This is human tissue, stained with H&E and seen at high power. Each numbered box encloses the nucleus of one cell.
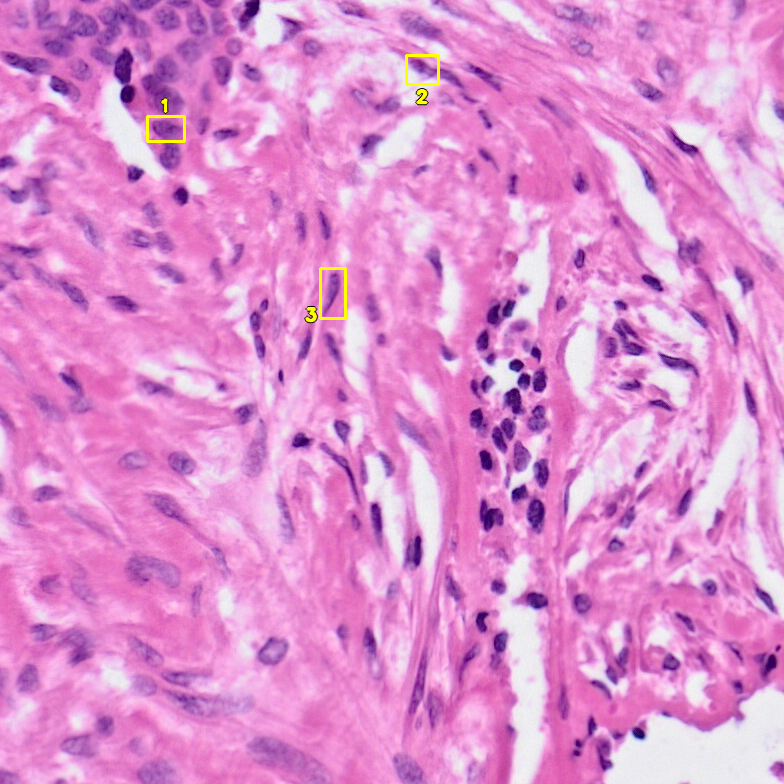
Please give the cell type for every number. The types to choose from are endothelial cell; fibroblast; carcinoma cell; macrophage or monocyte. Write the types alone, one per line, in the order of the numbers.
carcinoma cell
fibroblast
fibroblast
